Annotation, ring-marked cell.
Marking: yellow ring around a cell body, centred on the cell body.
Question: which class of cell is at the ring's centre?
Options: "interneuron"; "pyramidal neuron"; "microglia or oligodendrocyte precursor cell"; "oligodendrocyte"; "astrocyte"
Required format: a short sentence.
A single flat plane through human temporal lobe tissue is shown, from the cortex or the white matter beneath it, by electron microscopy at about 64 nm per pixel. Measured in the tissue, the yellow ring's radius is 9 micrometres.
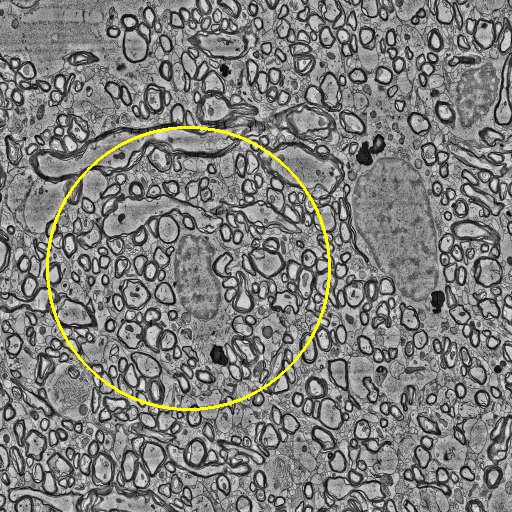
At the ring's centre is an oligodendrocyte.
